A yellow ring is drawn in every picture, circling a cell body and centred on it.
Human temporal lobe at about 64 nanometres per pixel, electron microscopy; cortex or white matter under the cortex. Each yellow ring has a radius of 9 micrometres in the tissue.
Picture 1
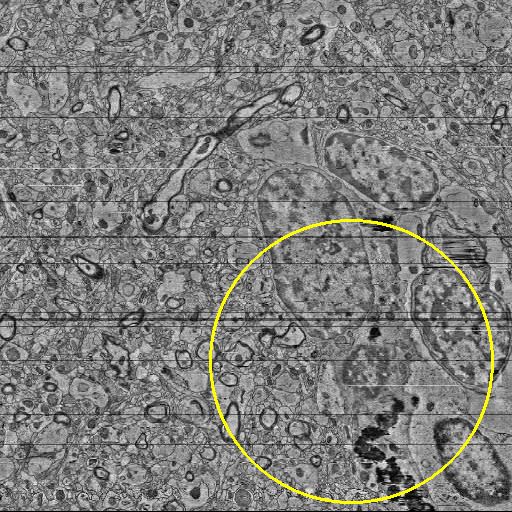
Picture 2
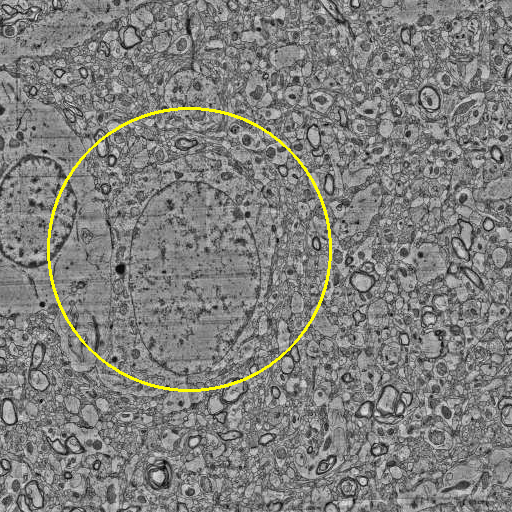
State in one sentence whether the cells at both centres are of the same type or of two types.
The cells at the two ring centres, one per picture, are of two types.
